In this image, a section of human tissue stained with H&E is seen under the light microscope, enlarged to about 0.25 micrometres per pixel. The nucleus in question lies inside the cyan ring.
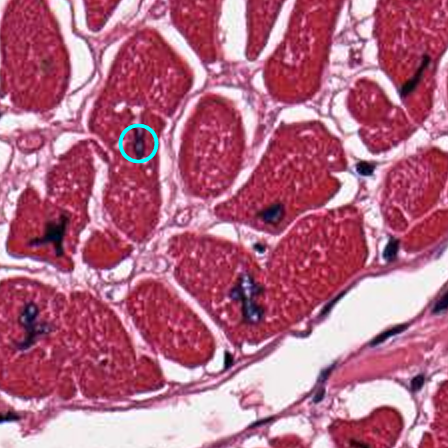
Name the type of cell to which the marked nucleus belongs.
cardiomyocyte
